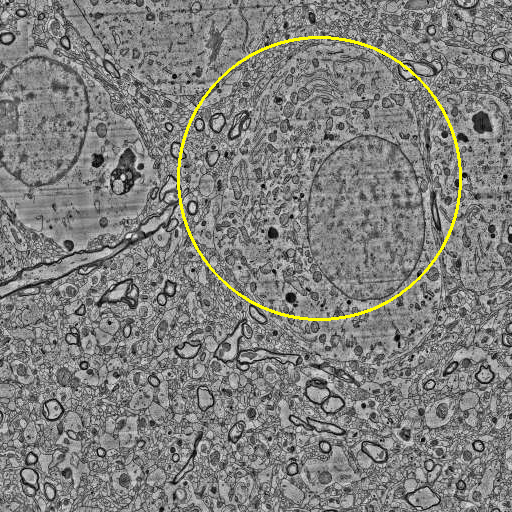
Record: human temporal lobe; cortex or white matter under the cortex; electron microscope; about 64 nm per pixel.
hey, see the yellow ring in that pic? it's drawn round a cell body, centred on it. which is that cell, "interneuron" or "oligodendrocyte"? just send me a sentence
The cell in the ring is an interneuron.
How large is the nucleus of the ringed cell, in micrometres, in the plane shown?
In this plane, the nucleus of the cell at the centre of the ring measures about 11 by 8 micrometres.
